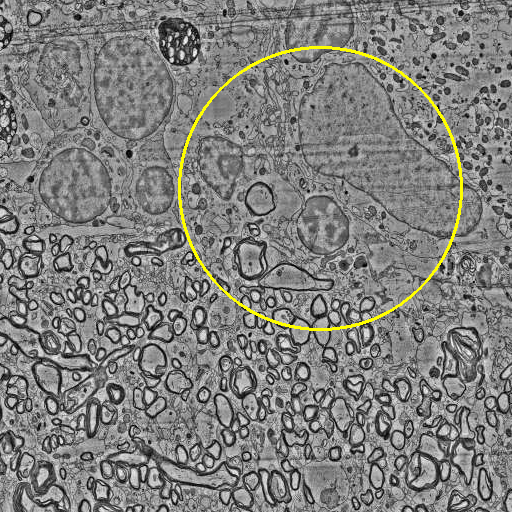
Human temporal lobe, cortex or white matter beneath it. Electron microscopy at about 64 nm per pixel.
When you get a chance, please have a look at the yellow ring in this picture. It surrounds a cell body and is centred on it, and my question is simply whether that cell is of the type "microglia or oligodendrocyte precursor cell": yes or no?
Yes, the cell is of that type.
